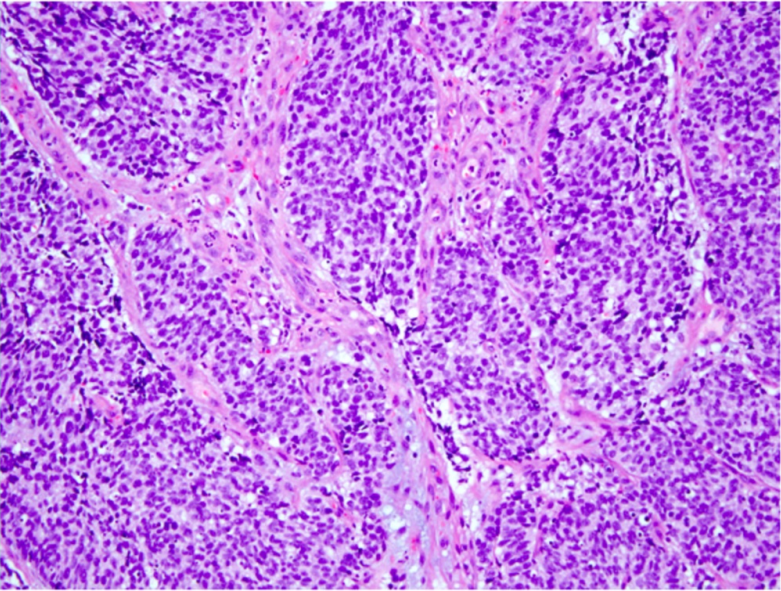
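Tumour tissue made of large nests and sheets of round to oval cells divided by thin pink fibrovascular septa. Nuclei are large, crowded and darkly stained purple, with some variation in size. The cytoplasm is pale and poorly outlined, and the cell borders are indistinct. The septa carry small vessels and spindle-shaped stromal cells.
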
